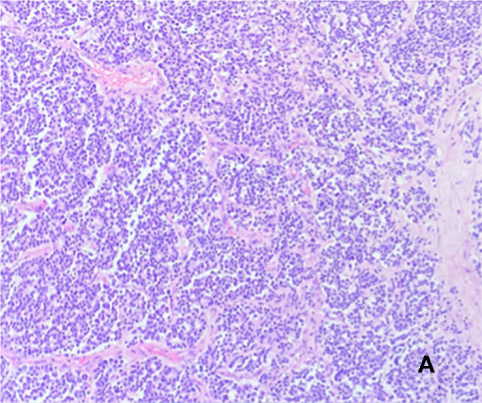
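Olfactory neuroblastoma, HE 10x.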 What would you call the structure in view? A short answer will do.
Vascular and hylinized fibrous stroma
